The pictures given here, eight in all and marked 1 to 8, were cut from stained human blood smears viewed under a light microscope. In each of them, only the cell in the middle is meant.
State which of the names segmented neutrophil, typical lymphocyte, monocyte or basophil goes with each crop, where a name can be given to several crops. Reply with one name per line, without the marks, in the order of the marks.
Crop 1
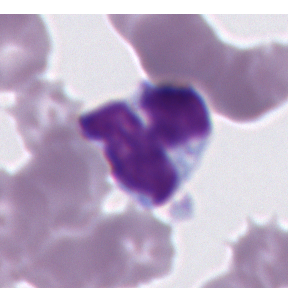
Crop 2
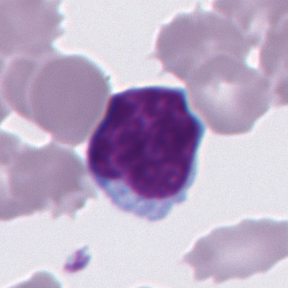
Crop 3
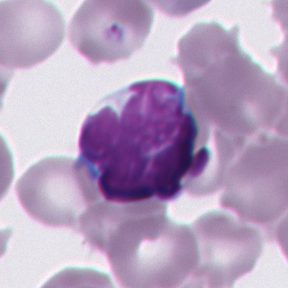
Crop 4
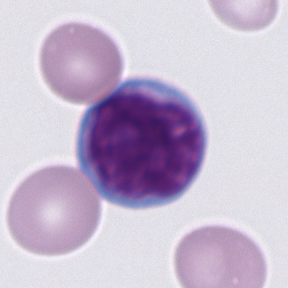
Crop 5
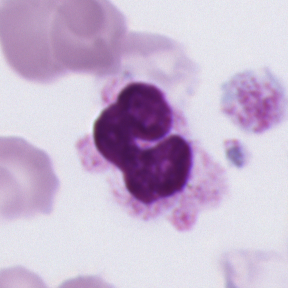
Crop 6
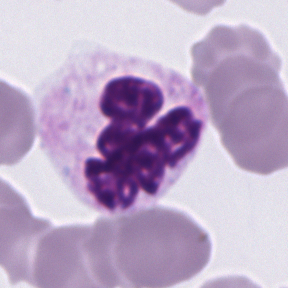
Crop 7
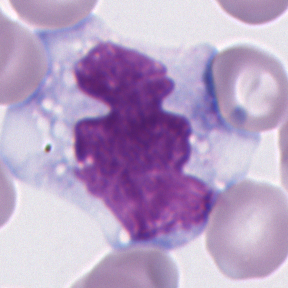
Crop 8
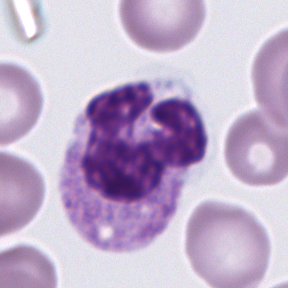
typical lymphocyte
typical lymphocyte
typical lymphocyte
typical lymphocyte
segmented neutrophil
segmented neutrophil
monocyte
segmented neutrophil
